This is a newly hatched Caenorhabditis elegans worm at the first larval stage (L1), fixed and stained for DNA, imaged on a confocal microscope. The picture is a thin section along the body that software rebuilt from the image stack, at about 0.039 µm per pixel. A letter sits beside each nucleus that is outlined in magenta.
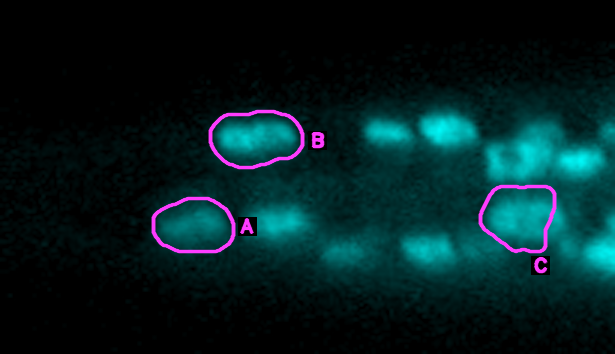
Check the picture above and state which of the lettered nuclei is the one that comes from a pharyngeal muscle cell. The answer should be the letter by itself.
C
